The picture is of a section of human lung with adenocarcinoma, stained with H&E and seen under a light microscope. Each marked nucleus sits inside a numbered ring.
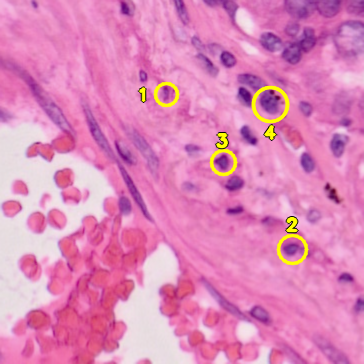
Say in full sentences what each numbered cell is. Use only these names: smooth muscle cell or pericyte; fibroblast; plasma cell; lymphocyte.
Cells 1, 2 and 3 are smooth muscle cells or pericytes. Cell 4 is a lymphocyte.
